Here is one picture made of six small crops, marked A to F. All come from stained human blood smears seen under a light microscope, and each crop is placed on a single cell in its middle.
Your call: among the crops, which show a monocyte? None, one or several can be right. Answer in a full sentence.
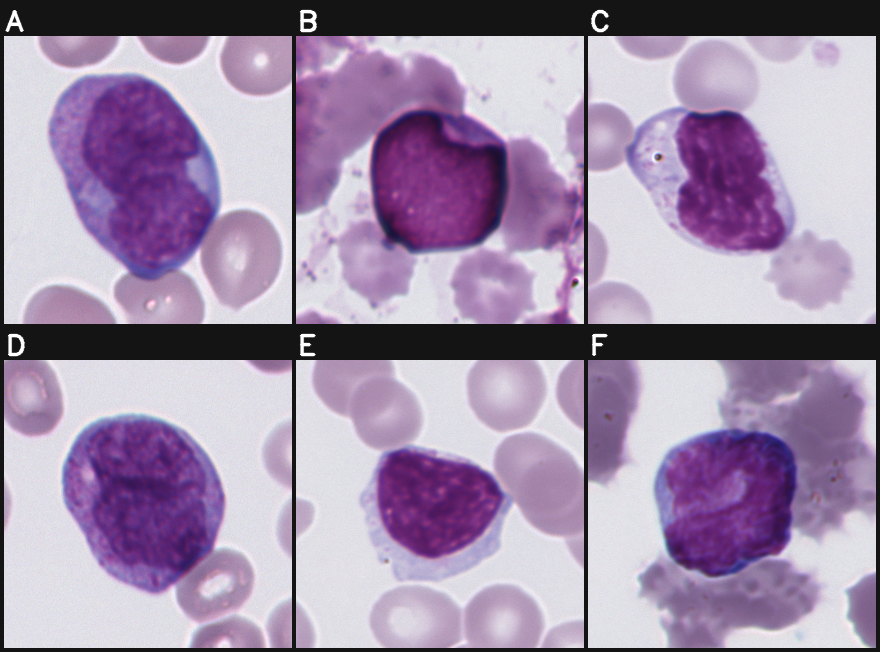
Nope, not one of these cells is a monocyte.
